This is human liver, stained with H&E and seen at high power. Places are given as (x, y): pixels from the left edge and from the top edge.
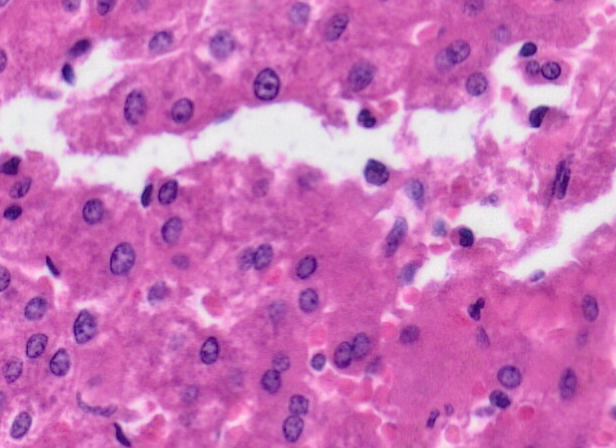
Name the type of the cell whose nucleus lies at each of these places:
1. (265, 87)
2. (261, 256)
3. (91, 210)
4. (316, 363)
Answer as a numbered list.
1. hepatocyte
2. hepatocyte
3. hepatocyte
4. lymphocyte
